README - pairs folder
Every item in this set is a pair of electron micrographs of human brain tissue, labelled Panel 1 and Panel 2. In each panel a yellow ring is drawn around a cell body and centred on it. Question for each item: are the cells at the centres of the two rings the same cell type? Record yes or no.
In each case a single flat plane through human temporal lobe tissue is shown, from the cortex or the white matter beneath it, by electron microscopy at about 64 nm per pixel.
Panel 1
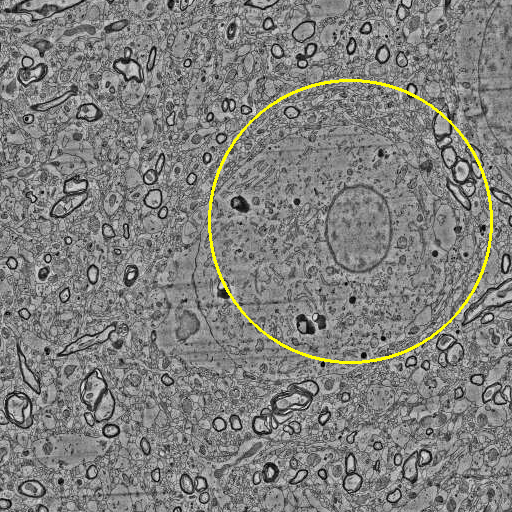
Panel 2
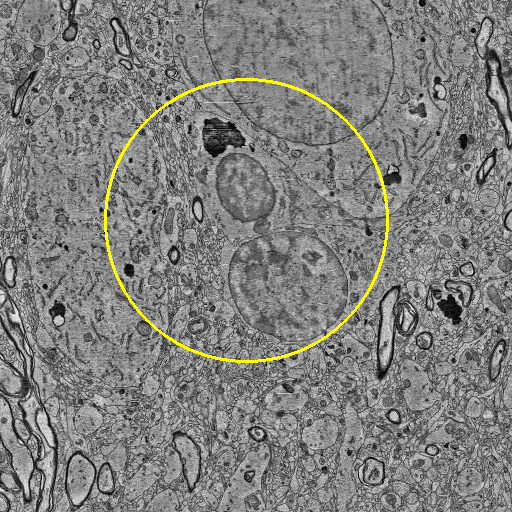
no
